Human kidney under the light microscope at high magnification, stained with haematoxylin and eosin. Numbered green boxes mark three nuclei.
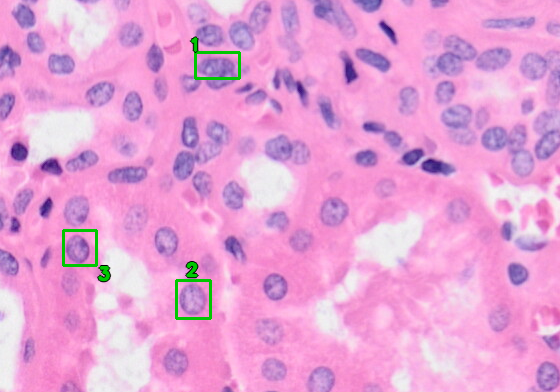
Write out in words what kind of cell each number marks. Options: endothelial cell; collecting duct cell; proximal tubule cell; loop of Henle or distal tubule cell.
Cell 1 is a collecting duct cell. Cells 2 and 3 are proximal tubule cells.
